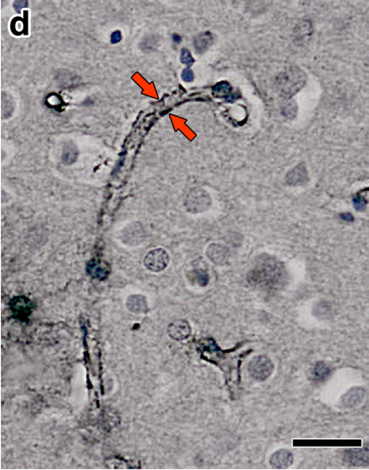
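A narrow, curving blood vessel runs through brain grey matter, its two walls lined by dark grey-black stain. The stain along the wall is granular and dotted rather than a smooth line, with small dark deposits clustered on the outer surface of the vessel. Around it lie pale, rounded cell bodies with round, lightly counterstained nuclei, and scattered smaller, darker nuclei.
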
